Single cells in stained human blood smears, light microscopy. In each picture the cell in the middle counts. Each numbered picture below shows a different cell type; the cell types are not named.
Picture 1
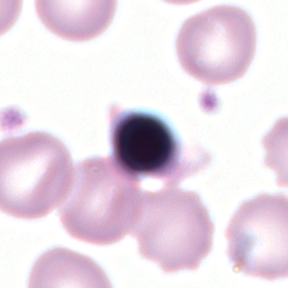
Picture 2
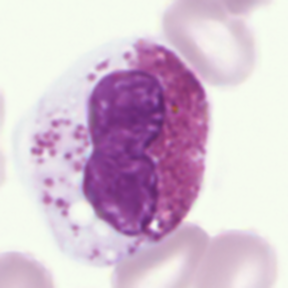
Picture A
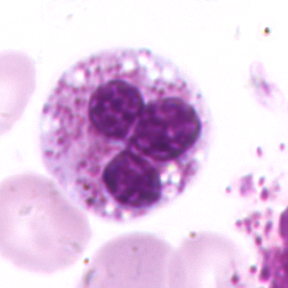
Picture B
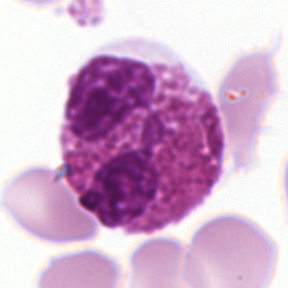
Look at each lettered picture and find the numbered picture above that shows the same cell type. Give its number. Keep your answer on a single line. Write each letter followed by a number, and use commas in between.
A 2, B 2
